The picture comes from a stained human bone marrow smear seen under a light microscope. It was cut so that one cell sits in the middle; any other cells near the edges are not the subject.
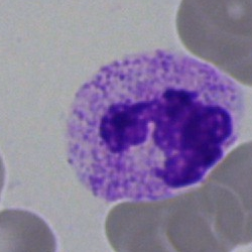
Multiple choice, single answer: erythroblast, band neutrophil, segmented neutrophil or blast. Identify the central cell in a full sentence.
The cell that lies at the centre of the crop is a segmented neutrophil.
